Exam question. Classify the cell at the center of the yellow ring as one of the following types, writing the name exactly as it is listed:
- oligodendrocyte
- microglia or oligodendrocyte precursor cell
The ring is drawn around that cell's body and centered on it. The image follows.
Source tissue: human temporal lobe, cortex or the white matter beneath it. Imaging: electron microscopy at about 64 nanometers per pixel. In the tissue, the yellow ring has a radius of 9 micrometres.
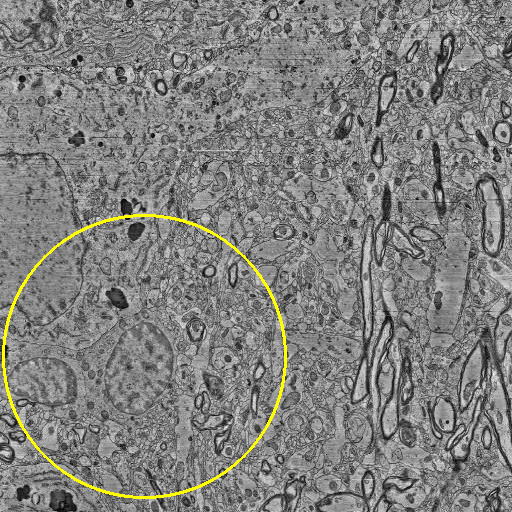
oligodendrocyte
